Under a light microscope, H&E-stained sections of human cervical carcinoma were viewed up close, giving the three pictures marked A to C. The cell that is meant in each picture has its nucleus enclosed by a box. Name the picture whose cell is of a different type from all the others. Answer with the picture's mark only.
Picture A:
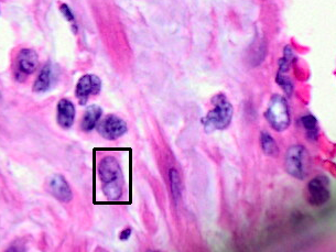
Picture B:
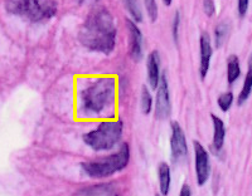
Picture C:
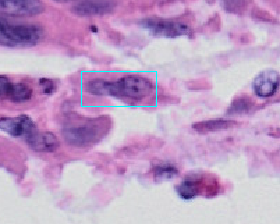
B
